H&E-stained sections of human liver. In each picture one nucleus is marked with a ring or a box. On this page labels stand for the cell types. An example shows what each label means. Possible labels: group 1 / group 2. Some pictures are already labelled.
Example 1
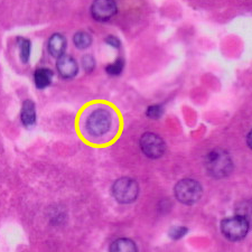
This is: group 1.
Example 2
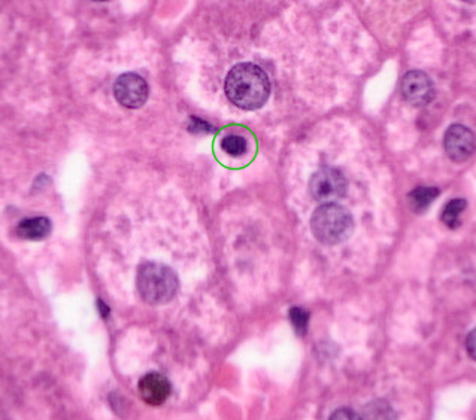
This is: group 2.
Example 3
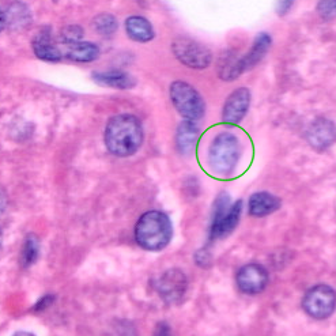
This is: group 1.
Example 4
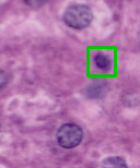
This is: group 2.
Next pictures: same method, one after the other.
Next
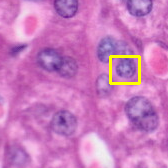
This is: group 1.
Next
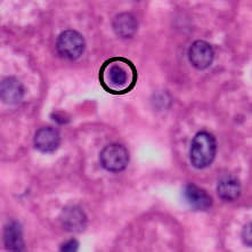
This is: group 2.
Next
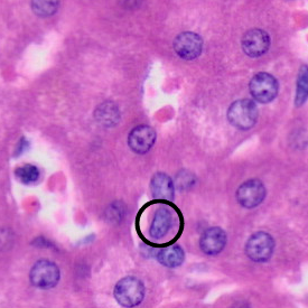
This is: group 1.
